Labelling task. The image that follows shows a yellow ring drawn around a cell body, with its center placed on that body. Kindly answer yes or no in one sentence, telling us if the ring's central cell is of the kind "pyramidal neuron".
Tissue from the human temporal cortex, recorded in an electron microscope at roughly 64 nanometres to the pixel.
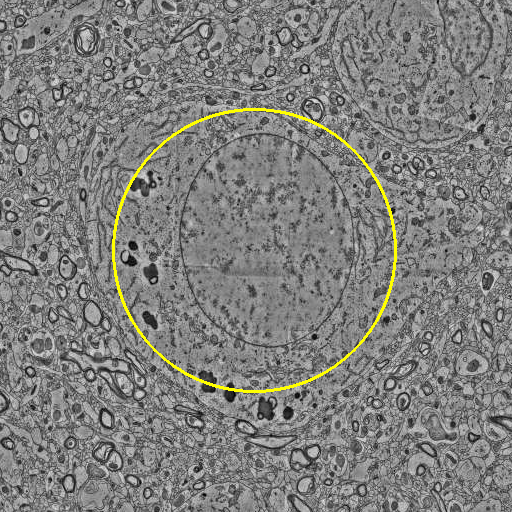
Yes, in this image the cell at the ring's center is of that kind.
